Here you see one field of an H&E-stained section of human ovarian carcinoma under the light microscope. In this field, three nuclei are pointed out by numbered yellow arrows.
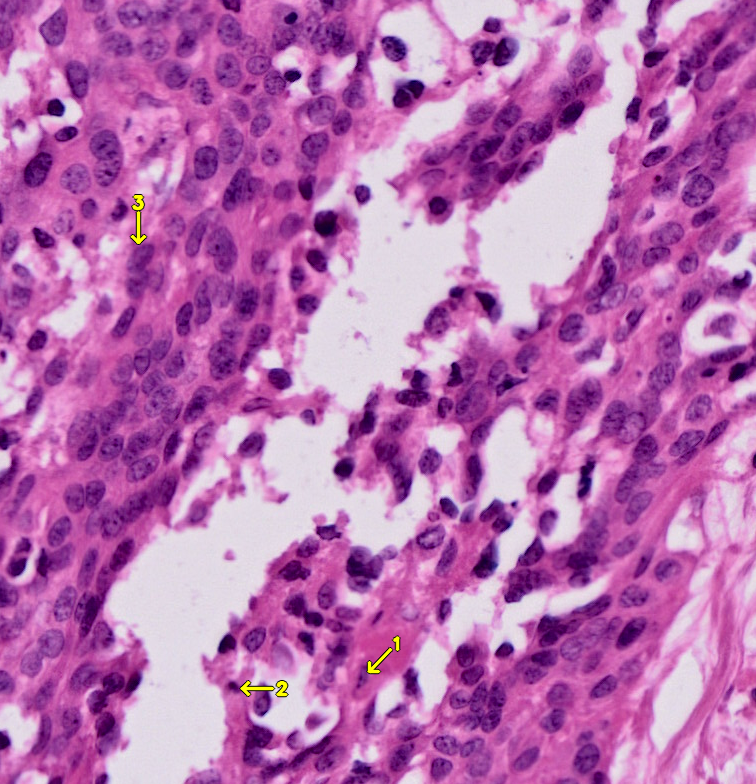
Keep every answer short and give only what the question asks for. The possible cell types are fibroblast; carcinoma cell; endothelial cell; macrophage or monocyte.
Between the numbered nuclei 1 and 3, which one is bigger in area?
3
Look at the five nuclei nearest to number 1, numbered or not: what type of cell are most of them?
macrophage or monocyte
